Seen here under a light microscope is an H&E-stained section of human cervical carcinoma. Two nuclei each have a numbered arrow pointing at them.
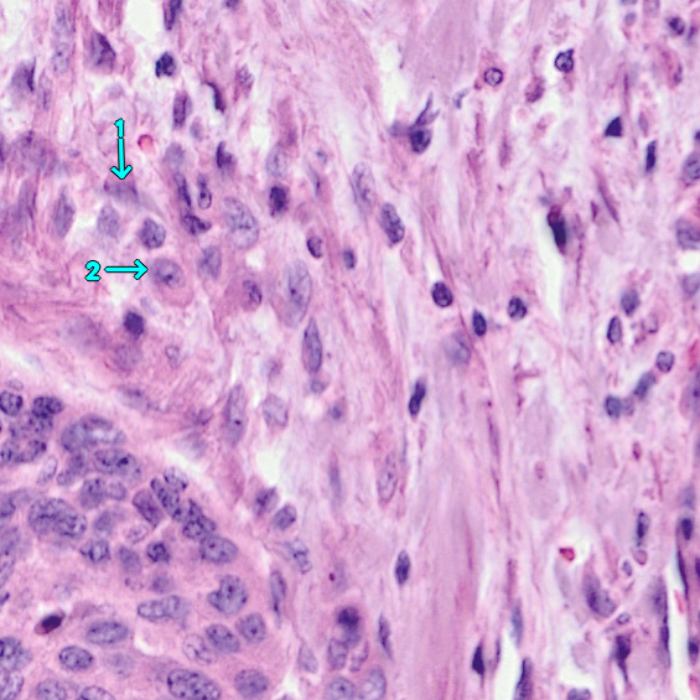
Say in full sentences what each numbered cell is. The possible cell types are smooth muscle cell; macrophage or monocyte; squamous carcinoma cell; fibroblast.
Cell 1 is a fibroblast. Cell 2 is a macrophage or monocyte.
